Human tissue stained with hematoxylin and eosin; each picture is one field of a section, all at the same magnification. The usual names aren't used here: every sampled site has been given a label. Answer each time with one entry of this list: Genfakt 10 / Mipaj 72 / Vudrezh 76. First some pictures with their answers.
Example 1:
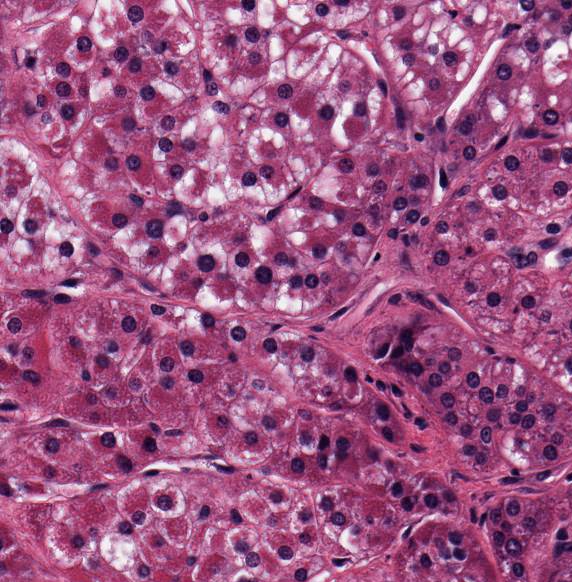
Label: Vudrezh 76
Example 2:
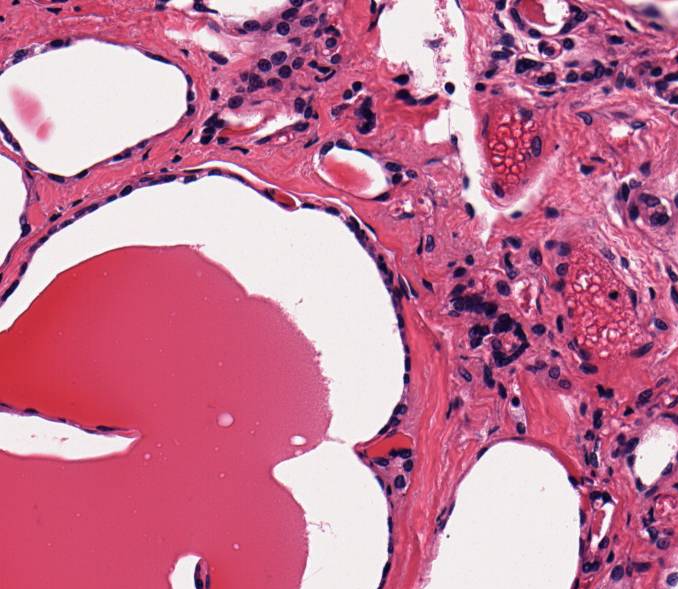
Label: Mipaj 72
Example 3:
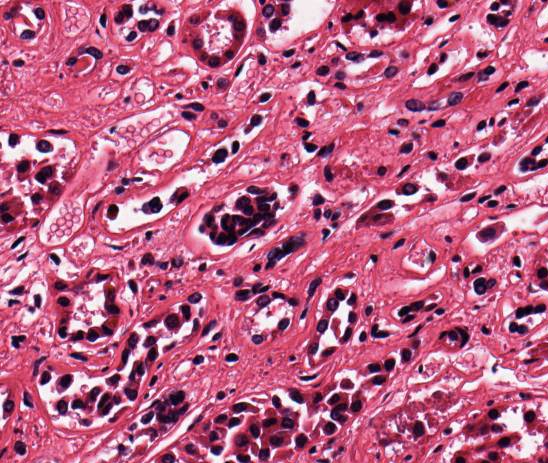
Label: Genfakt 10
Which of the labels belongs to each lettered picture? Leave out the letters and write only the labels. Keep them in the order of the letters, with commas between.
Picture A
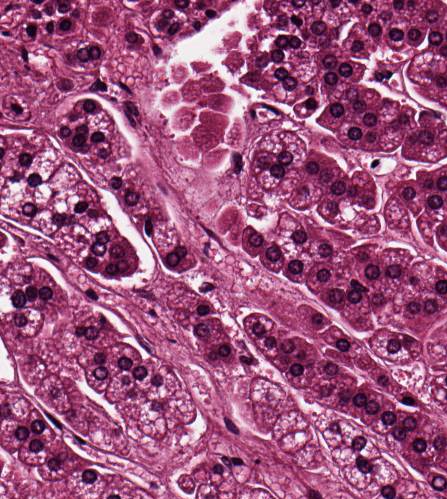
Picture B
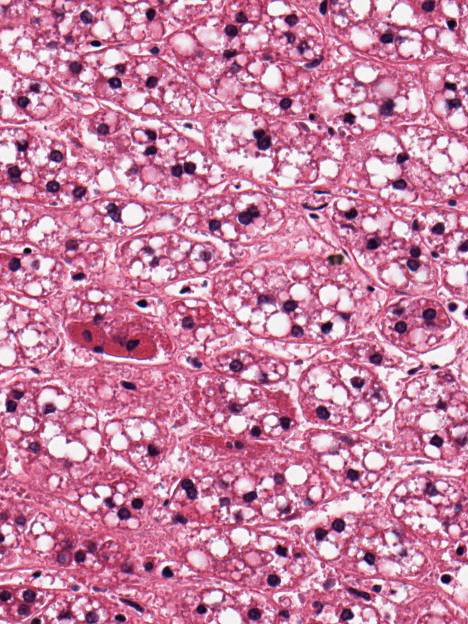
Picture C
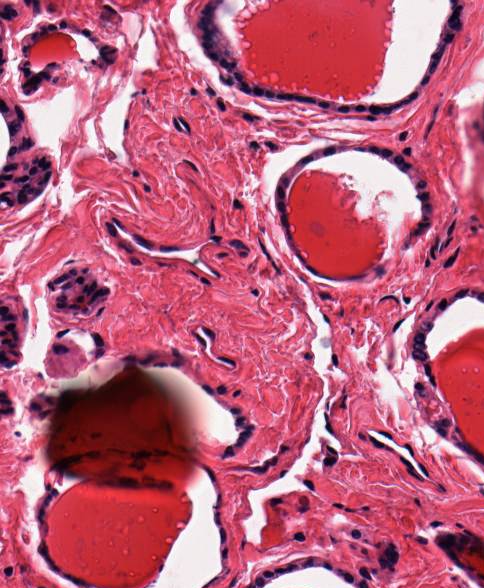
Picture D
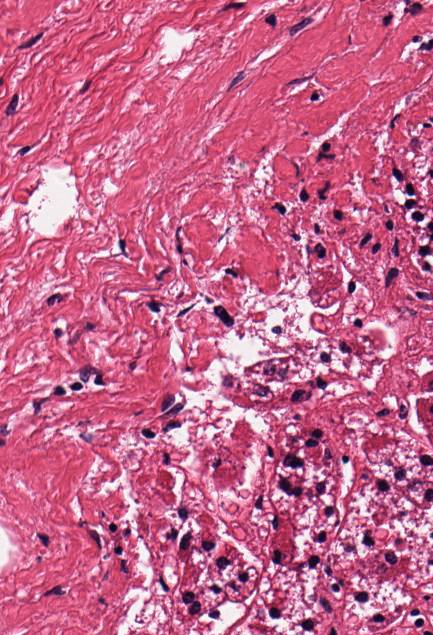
Vudrezh 76, Vudrezh 76, Mipaj 72, Vudrezh 76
